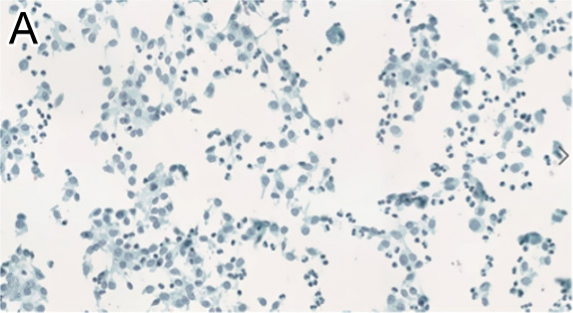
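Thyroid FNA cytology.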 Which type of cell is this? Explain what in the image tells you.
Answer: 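Larger cells with oval nuclei and moderate pale cytoplasm lie singly and in loose groups. The cells do not form cohesive sheets or follicles. Smaller round dark nuclei are scattered among them. The answer: Discohesive epithelioid cells.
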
